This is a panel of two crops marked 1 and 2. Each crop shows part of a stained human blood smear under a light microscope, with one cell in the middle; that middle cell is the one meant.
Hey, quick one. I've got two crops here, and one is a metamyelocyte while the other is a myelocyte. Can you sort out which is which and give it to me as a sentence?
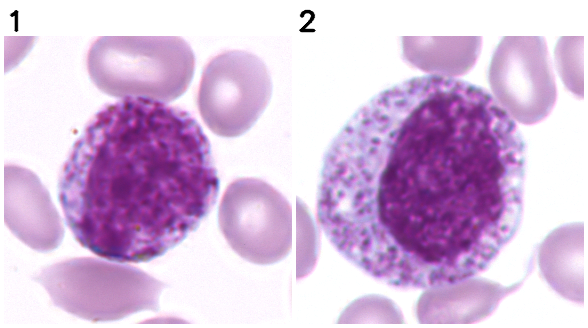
At the centre of crop 1 lies a metamyelocyte, and at the centre of crop 2 lies a myelocyte.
